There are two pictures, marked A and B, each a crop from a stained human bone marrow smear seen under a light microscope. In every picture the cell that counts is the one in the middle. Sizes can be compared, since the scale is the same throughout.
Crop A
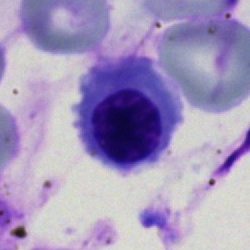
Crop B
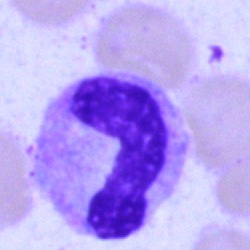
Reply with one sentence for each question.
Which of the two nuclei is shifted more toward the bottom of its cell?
The nucleus in crop A lies further toward the bottom of its cell.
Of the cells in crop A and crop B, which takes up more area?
The cell in crop B is larger, with about 2 times the area of the one in crop A.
